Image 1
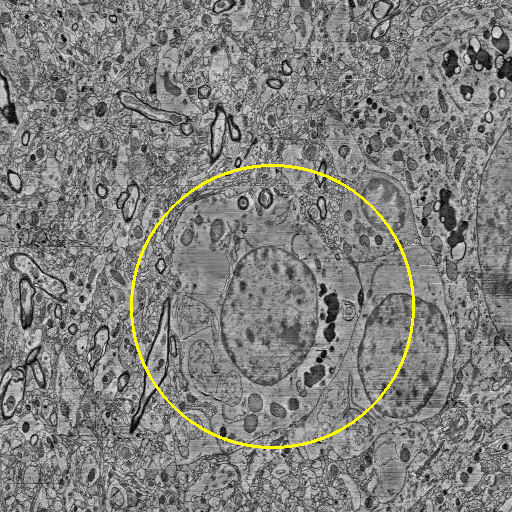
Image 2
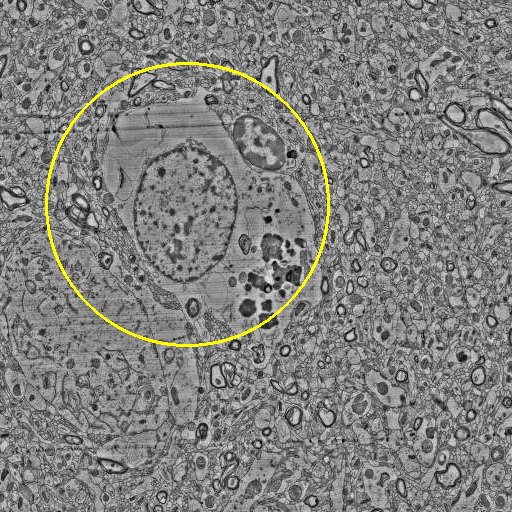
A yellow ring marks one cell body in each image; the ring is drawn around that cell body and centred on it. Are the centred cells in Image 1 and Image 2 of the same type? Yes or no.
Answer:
yes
